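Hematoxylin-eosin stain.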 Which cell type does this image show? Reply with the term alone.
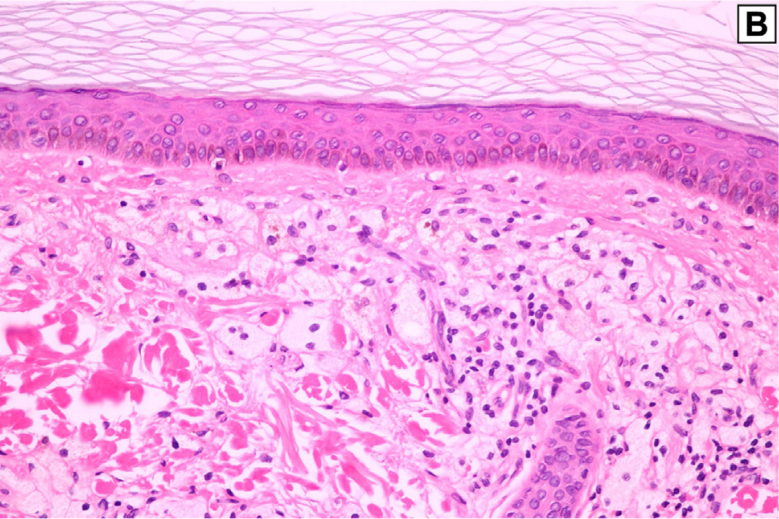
Foamy histiocytes.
